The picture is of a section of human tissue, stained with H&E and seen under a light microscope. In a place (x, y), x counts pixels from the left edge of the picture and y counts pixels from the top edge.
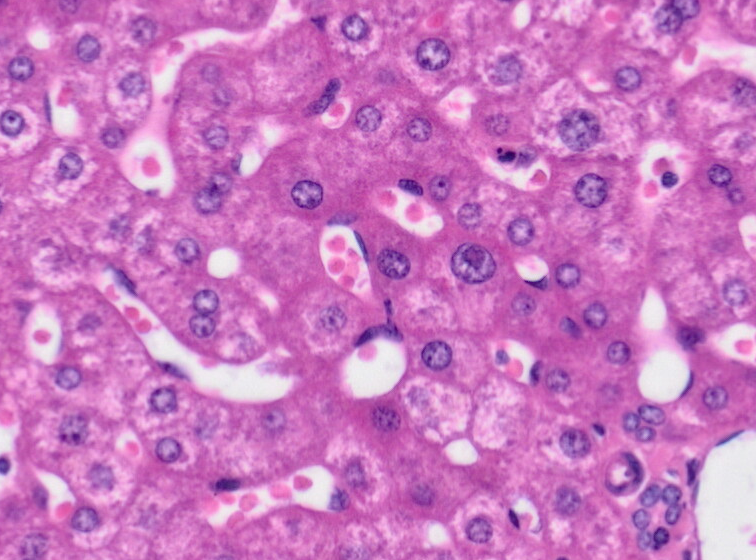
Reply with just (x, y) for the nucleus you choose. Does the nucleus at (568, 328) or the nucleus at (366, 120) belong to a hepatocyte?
(366, 120)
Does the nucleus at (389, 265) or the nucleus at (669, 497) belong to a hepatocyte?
(389, 265)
